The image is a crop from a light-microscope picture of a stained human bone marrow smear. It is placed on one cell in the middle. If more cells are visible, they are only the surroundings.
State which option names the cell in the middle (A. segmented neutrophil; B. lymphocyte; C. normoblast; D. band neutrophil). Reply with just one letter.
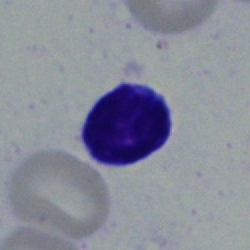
B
